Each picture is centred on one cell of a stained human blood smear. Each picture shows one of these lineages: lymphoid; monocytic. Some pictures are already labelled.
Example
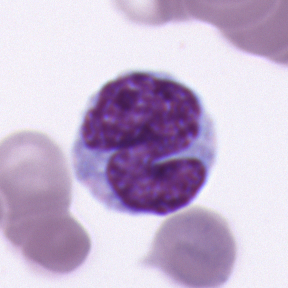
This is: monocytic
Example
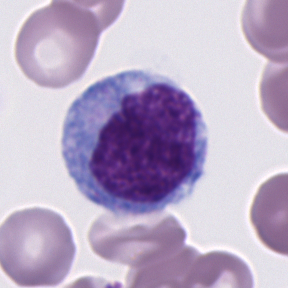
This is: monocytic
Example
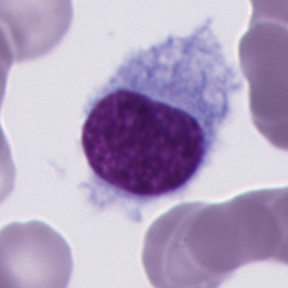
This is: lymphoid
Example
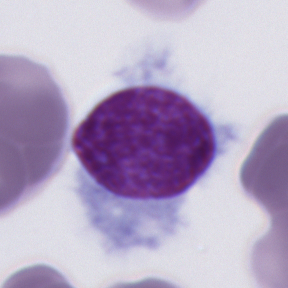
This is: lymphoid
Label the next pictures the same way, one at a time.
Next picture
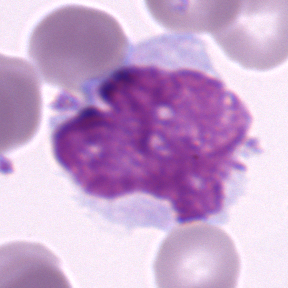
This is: monocytic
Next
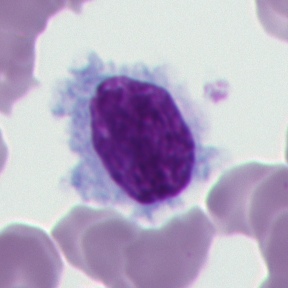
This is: lymphoid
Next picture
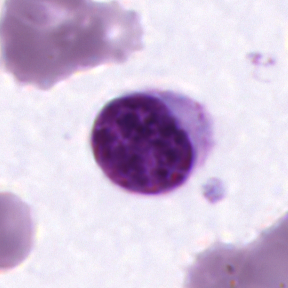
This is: lymphoid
